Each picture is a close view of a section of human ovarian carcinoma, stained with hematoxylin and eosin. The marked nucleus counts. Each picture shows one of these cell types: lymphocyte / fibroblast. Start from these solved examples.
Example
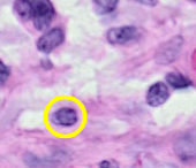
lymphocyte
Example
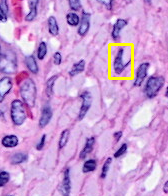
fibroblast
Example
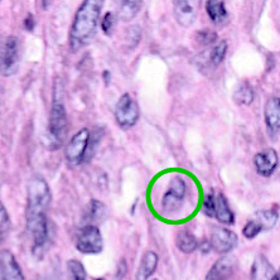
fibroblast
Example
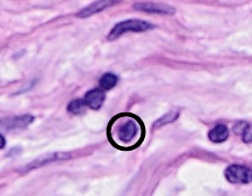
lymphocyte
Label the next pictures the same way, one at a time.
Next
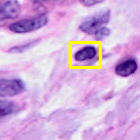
lymphocyte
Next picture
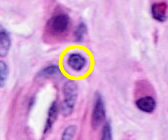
lymphocyte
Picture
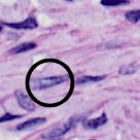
fibroblast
